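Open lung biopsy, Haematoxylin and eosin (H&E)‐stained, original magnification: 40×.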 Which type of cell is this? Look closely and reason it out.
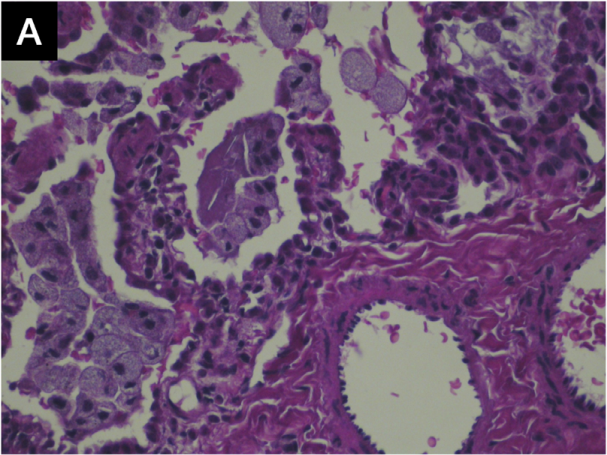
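Large rounded cells lie free within the air spaces. Some of these free cells have pale, finely vacuolated cytoplasm. So: intra‐alveolar macrophages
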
